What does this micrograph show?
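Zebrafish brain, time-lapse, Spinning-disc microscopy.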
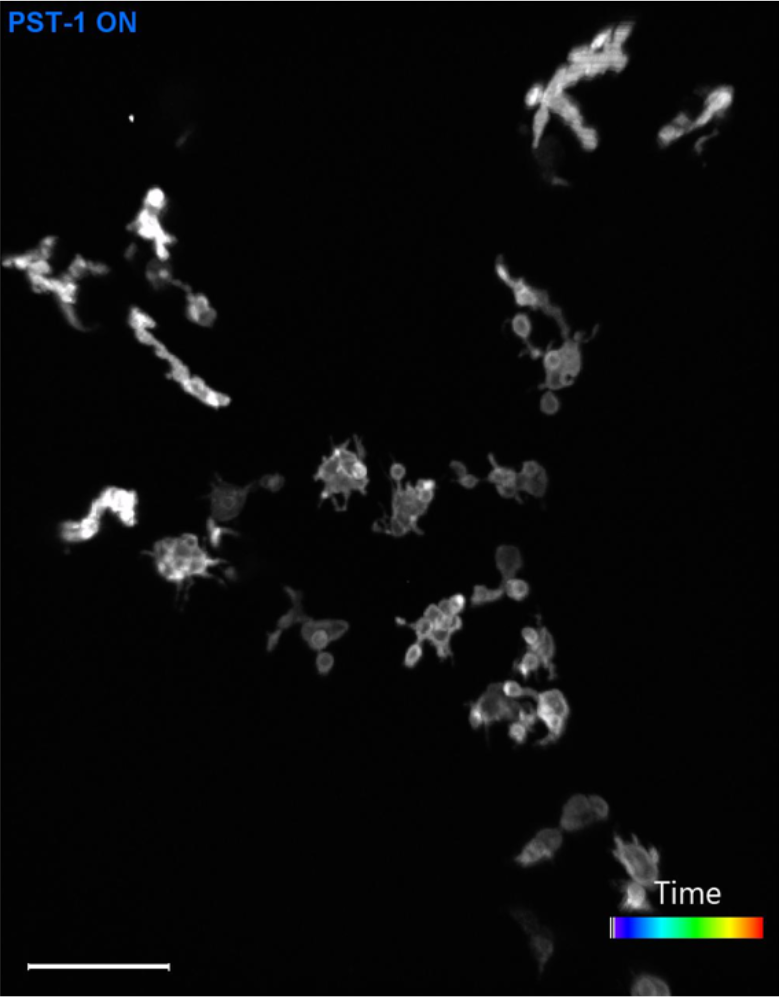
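Some are drawn out into elongated, irregular shapes, while others have compact bodies with short processes. Round, membrane-outlined compartments are seen within many of them.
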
